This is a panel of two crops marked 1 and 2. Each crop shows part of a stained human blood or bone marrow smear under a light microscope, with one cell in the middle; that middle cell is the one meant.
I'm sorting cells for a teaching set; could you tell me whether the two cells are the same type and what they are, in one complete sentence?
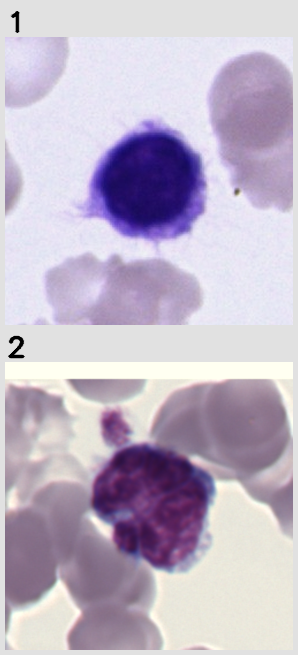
Yes, in short, both crops show lymphocytes.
